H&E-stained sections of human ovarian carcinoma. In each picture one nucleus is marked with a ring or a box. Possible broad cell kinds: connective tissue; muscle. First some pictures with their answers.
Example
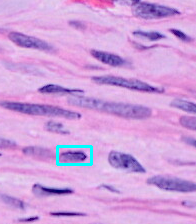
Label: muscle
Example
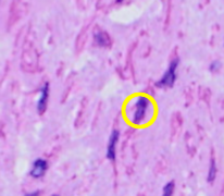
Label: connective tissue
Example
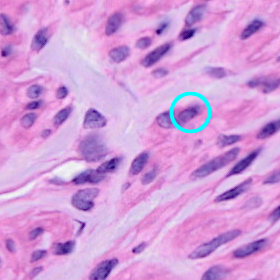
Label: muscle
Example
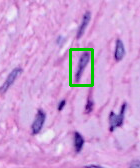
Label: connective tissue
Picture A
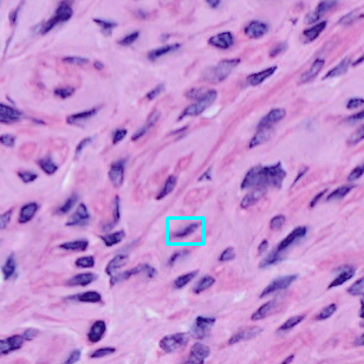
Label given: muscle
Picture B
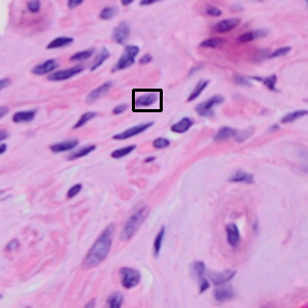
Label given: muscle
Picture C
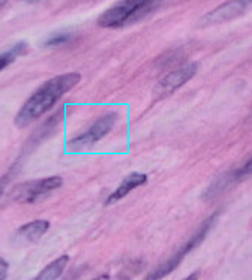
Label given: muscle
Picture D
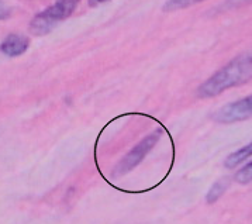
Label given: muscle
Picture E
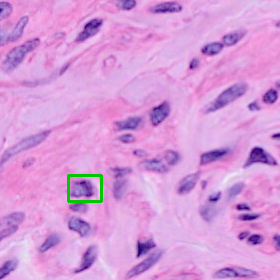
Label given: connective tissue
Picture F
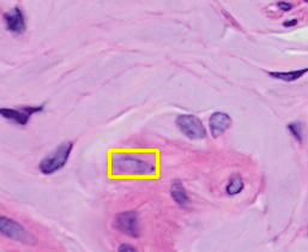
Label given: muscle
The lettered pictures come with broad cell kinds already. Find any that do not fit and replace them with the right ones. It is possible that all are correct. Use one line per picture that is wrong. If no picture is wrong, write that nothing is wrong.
E: change connective tissue to muscle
